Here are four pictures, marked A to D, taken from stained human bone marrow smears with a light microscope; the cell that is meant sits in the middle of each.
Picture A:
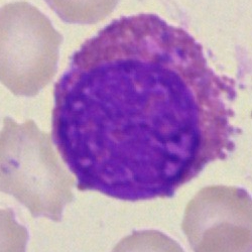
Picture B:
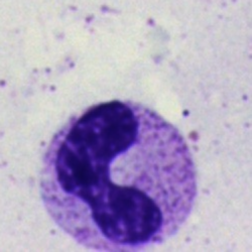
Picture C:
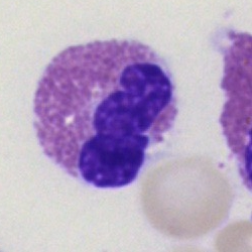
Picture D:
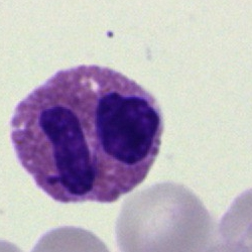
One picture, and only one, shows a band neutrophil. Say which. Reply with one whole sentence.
The picture with the band neutrophil is B.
